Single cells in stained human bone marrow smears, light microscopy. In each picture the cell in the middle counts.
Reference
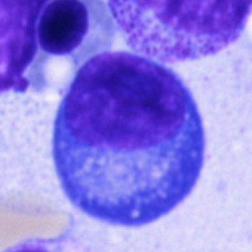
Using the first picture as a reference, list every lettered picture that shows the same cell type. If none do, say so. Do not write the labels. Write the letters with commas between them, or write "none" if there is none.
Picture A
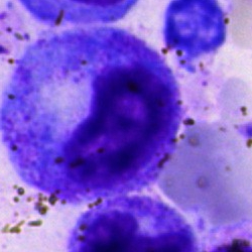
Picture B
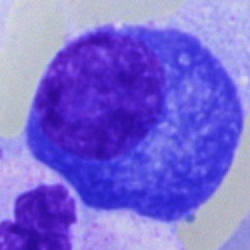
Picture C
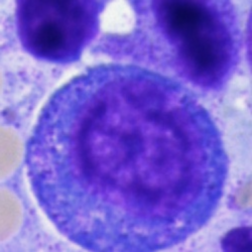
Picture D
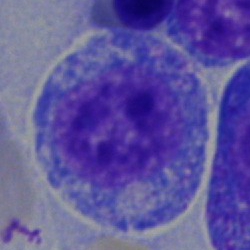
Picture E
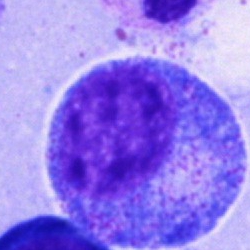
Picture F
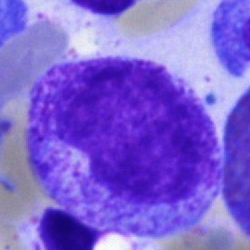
B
